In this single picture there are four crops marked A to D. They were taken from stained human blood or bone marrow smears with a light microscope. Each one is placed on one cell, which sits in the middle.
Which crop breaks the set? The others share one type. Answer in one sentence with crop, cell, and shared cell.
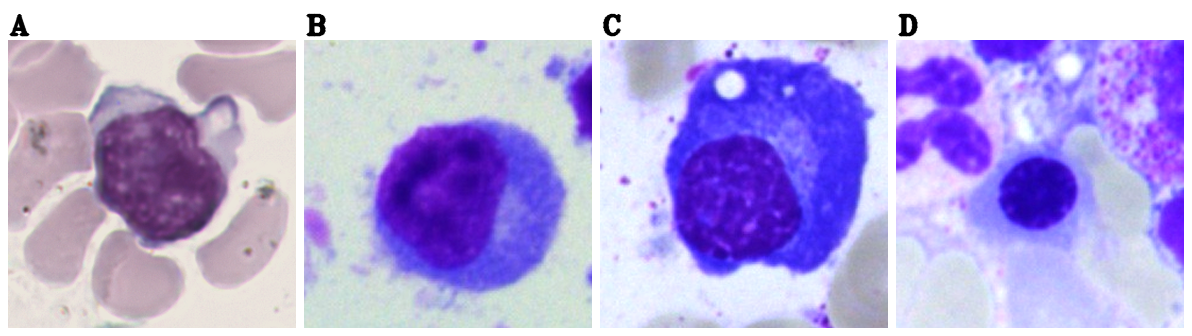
Crop D breaks the pattern with an erythroblast; all the others show plasma cells.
